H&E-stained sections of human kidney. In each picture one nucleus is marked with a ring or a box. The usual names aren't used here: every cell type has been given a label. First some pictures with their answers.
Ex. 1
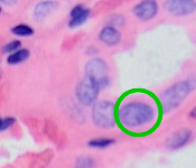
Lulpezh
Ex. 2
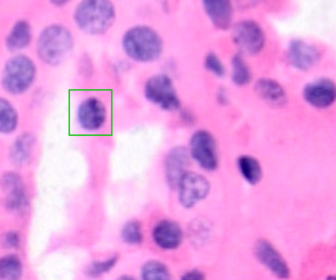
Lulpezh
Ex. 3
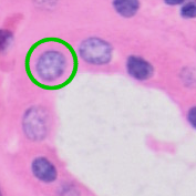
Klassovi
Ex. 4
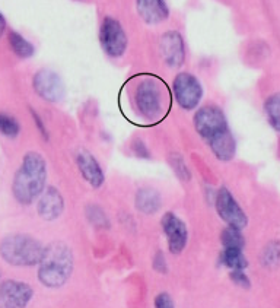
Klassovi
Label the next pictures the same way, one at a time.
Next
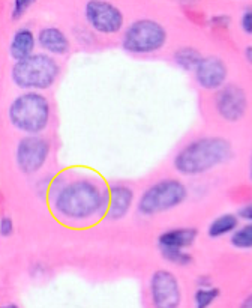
Lulpezh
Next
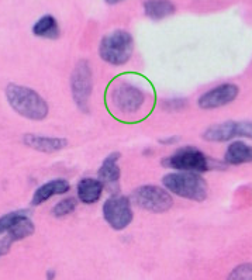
Klassovi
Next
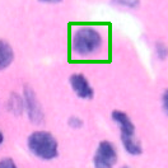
Klassovi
